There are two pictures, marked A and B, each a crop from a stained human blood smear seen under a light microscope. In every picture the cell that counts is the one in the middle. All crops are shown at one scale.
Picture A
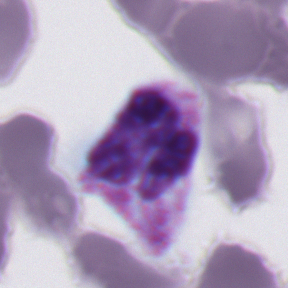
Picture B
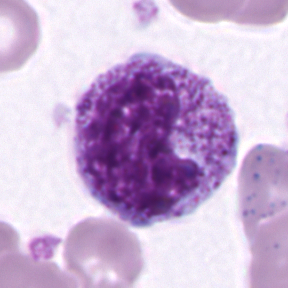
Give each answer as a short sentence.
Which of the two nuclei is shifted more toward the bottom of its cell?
The nucleus in picture B lies further toward the bottom of its cell.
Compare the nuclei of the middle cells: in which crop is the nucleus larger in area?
The nucleus in picture B is larger, with about 1.5 times the area of the one in picture A.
